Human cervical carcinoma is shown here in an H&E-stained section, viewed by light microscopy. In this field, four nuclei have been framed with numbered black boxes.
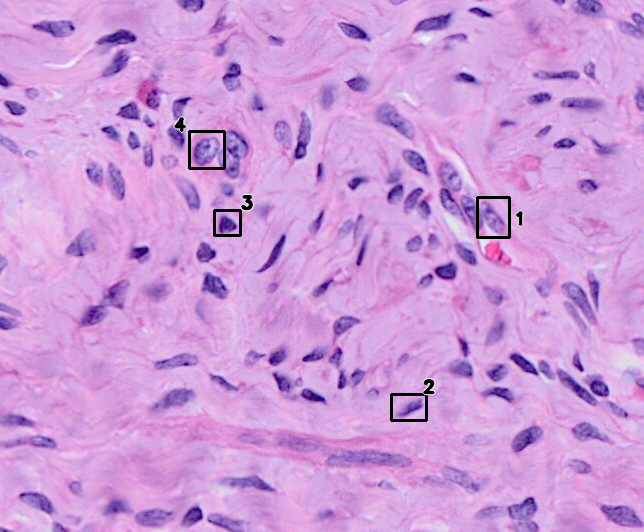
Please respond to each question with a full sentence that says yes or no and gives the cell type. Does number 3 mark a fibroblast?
Yes, the cell whose number is 3 is a fibroblast.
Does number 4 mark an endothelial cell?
Yes, the numbered nucleus 4 is that of an endothelial cell.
